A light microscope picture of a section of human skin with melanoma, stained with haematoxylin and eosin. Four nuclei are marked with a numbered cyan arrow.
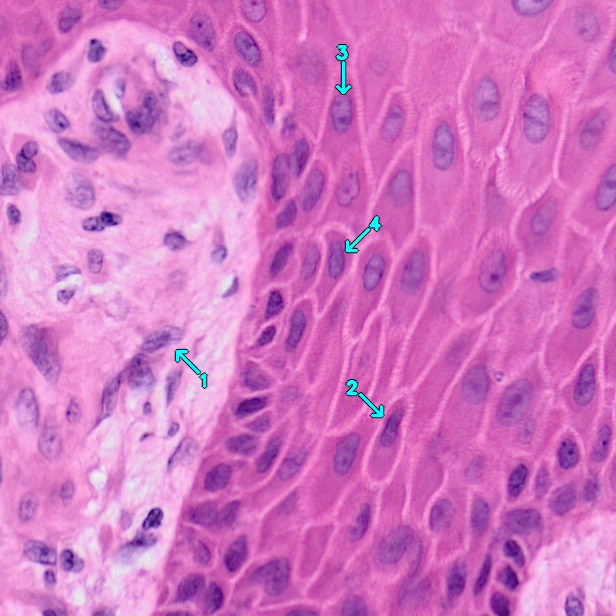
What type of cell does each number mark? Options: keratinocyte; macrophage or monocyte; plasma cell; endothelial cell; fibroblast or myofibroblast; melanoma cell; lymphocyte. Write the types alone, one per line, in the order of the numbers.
fibroblast or myofibroblast
keratinocyte
keratinocyte
keratinocyte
